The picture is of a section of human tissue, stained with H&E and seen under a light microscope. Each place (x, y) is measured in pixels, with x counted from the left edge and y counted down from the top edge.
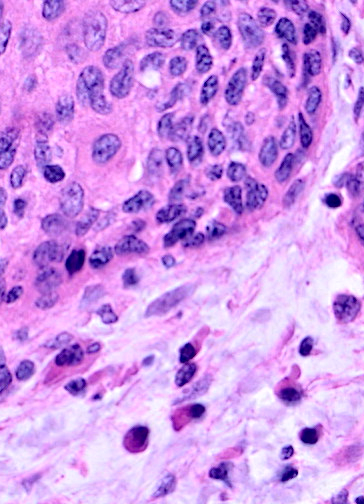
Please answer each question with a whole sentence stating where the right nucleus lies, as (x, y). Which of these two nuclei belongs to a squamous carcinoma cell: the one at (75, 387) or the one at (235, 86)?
As for which of the two, the nucleus at (235, 86) belongs to a squamous carcinoma cell.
